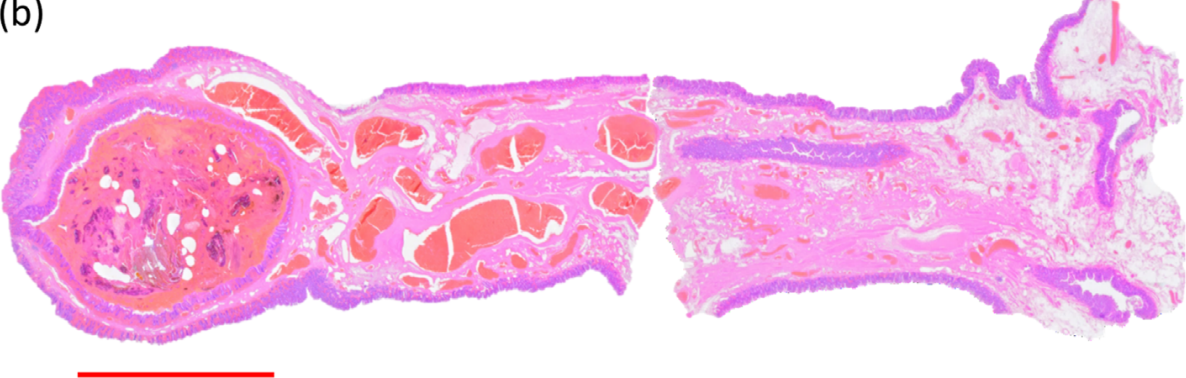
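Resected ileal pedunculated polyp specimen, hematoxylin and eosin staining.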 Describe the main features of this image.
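At low magnification, a long strip of intestinal wall is lined on its surfaces by a thin purple band of glandular mucosa, with loose pale pink submucosal tissue in between. Toward one end, this pink tissue holds many wide, rounded vessels packed with red blood, which matches the cystically dilated and congested vessels of the base. At the far end, a rounded head is lined by purple mucosa both on its outer surface and on the inner surface facing its centre. Its core is filled with amorphous pink and purple debris, consistent with feces held inside inverted mucosa.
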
